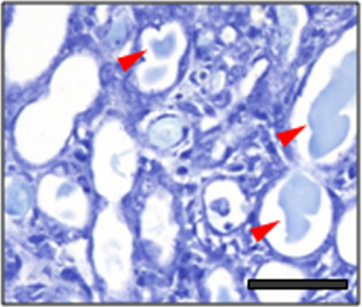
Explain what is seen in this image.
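Many tubules are dilated, with wide open lumens lined by a thin, flattened epithelium that has lost its tall cuboidal form and fluffy luminal border. Several lumens contain pale blue, smooth, homogeneous casts, some with cells or cell debris within them. Nuclei along the lining are sparse and irregular. The tubules are set further apart than normal, with more interstitial tissue and scattered cells between them, giving a disorganised architecture compared with normal cortex.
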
